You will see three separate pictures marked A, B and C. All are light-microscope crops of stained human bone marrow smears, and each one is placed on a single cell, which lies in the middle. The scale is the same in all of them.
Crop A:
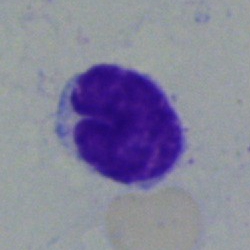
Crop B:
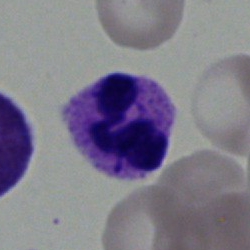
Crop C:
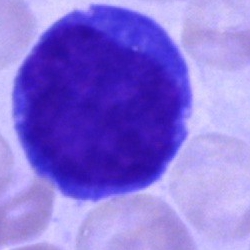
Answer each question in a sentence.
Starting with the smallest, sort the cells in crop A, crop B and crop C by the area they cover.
The order is B, A, C, beginning with the smallest.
